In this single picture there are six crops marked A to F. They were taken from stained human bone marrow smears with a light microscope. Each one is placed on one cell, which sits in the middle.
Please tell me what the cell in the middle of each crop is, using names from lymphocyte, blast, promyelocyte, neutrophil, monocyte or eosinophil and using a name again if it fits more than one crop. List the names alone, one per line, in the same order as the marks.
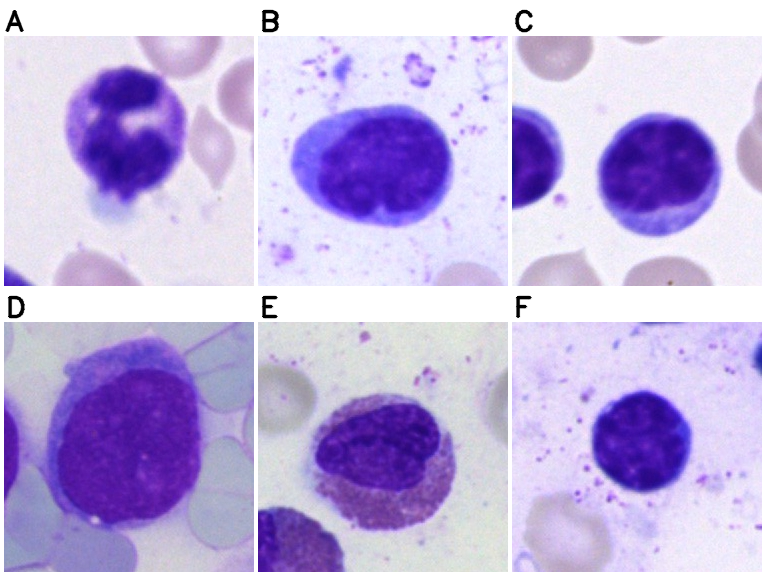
neutrophil
monocyte
lymphocyte
blast
eosinophil
lymphocyte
